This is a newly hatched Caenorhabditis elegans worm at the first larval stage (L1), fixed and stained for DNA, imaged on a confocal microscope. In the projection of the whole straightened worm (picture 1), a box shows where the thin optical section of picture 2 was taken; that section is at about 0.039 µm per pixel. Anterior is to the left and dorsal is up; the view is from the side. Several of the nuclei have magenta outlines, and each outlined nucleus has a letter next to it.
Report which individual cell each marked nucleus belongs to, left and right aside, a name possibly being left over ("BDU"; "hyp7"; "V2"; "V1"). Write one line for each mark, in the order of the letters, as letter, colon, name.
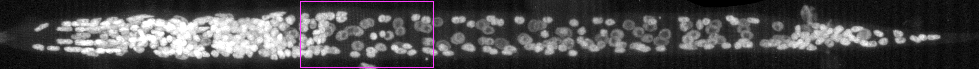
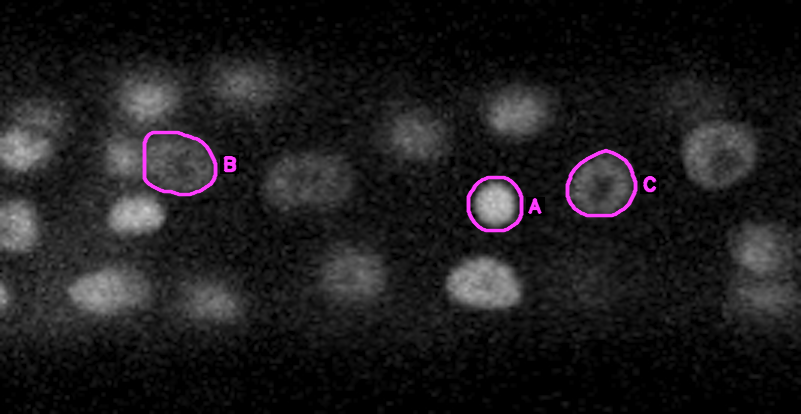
A: BDU
B: hyp7
C: V1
